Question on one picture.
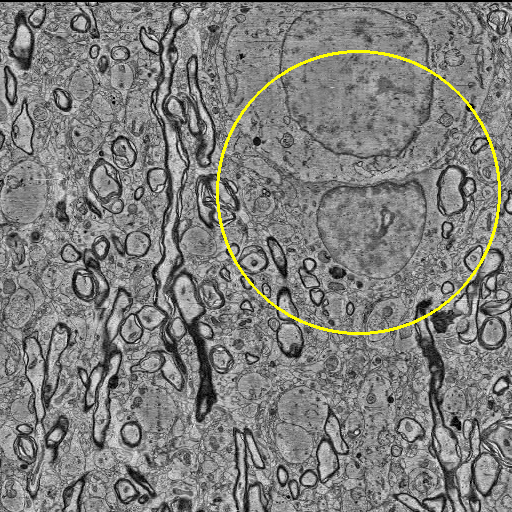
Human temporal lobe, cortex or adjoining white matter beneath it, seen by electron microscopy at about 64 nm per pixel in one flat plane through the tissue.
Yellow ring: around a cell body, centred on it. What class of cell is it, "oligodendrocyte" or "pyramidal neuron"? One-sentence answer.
This is an oligodendrocyte, the cell the ring is centred on.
